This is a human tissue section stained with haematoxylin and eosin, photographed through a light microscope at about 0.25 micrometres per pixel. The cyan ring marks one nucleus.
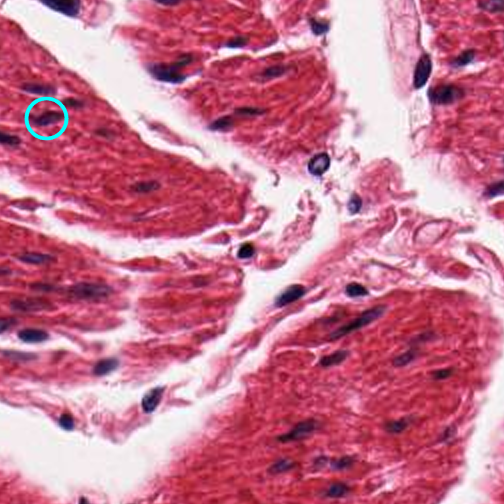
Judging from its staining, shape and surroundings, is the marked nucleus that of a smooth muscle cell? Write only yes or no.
yes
